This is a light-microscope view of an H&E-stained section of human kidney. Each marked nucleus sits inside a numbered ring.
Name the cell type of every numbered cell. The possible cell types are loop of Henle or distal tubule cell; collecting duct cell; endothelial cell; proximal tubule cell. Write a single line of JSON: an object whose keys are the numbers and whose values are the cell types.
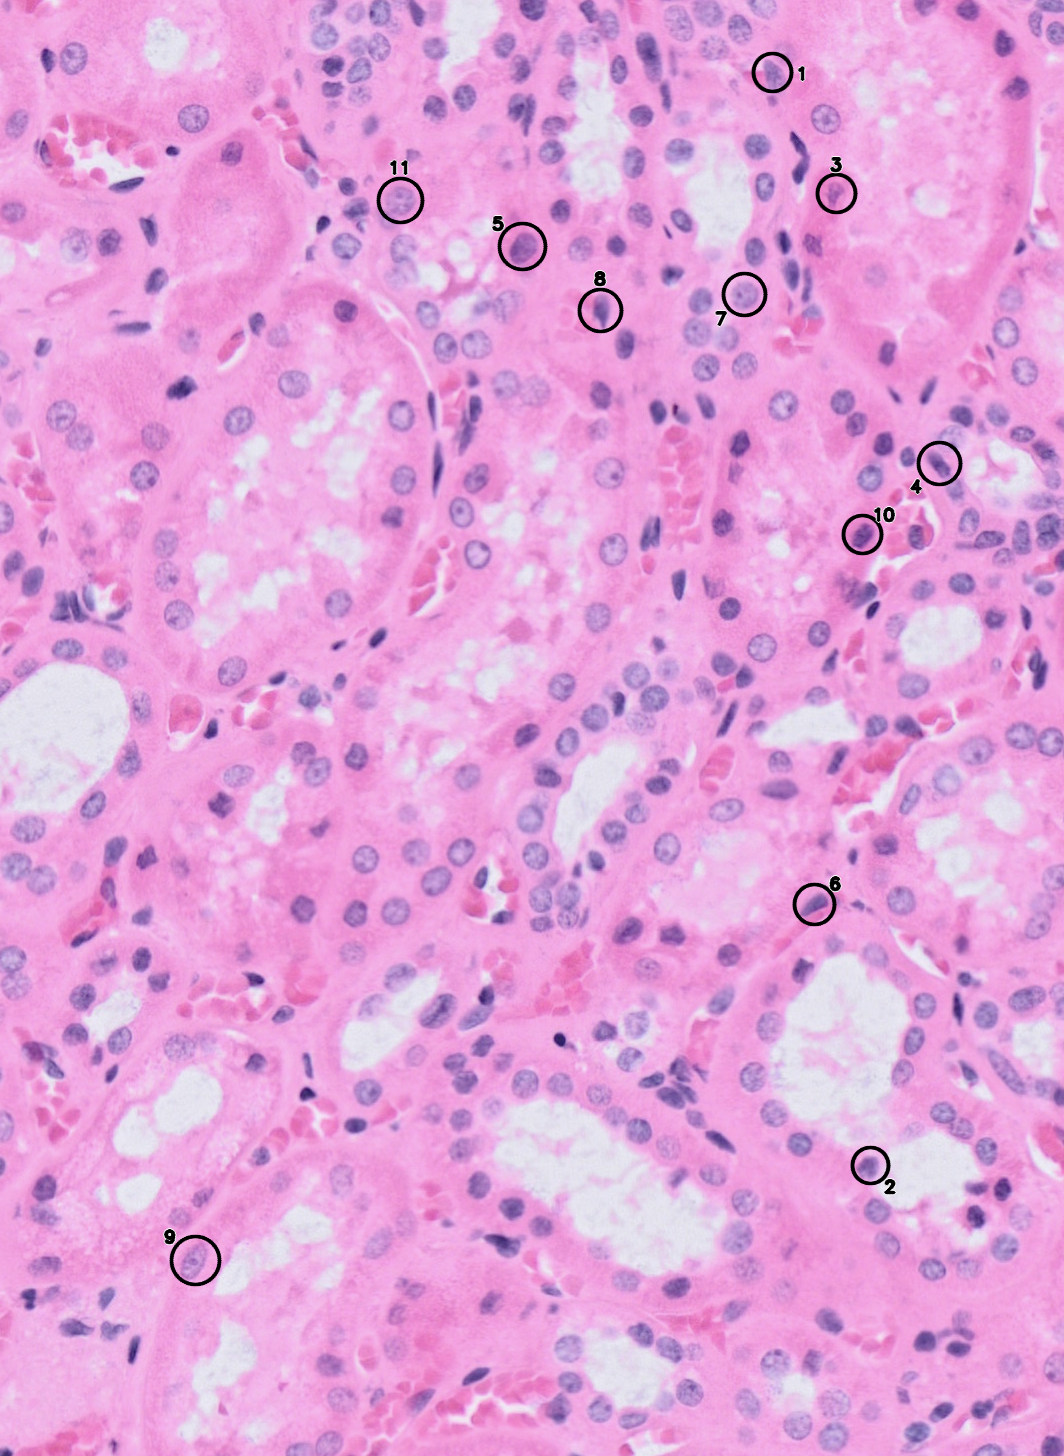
{"1": "endothelial cell", "2": "loop of Henle or distal tubule cell", "3": "proximal tubule cell", "4": "collecting duct cell", "5": "proximal tubule cell", "6": "endothelial cell", "7": "loop of Henle or distal tubule cell", "8": "endothelial cell", "9": "proximal tubule cell", "10": "proximal tubule cell", "11": "proximal tubule cell"}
